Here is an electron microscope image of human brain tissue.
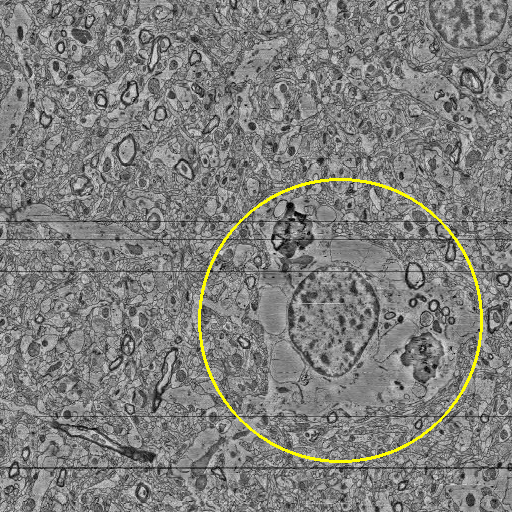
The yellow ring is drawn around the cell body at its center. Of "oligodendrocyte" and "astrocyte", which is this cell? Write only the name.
astrocyte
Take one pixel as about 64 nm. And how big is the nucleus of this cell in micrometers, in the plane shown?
Roughly 7 by 6 micrometres is the size of the nucleus in this plane.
